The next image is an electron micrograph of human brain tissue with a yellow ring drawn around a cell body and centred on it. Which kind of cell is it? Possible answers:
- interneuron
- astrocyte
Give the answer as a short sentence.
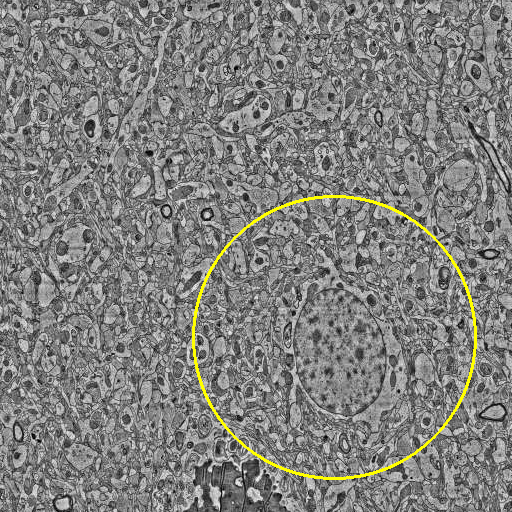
In the ring's centre is an astrocyte.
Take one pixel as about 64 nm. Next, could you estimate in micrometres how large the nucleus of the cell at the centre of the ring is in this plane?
In this plane the nucleus measures roughly 8 by 6 micrometers.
